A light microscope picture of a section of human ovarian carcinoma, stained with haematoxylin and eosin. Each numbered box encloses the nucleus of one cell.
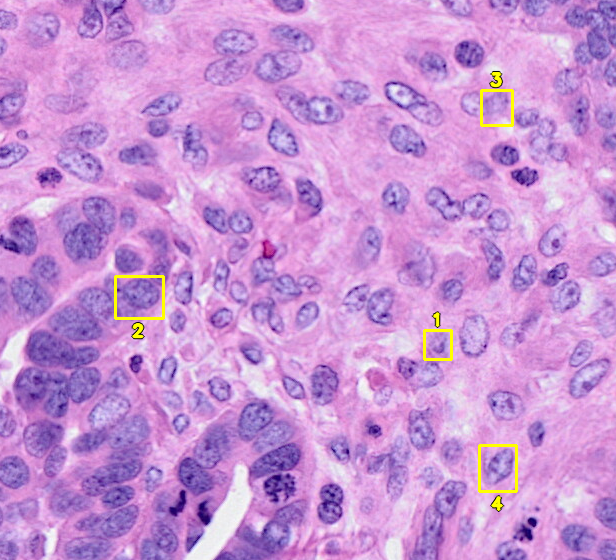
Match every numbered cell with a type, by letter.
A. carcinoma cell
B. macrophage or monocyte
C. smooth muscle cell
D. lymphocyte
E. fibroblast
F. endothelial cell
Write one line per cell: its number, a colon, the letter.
1: E
2: A
3: E
4: E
